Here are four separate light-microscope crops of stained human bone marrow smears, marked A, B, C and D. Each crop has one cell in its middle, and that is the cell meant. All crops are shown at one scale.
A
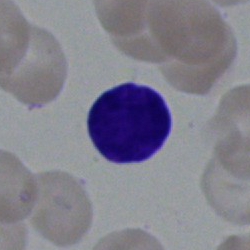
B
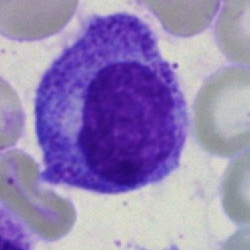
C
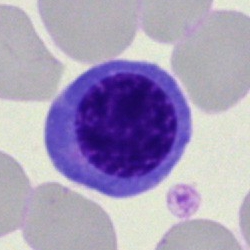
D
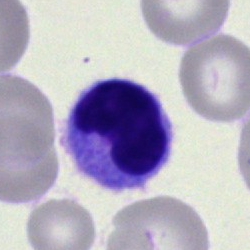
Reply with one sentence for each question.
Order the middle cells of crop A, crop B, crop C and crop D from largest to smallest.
Going down, they run B, C, D, A.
